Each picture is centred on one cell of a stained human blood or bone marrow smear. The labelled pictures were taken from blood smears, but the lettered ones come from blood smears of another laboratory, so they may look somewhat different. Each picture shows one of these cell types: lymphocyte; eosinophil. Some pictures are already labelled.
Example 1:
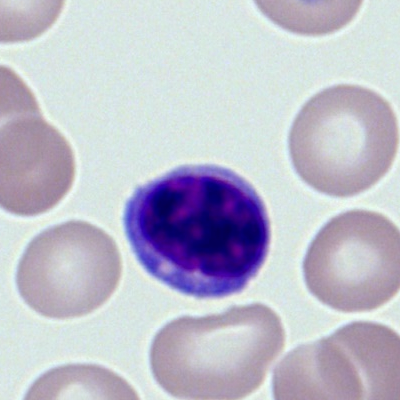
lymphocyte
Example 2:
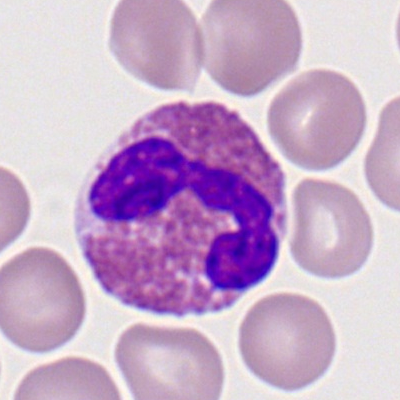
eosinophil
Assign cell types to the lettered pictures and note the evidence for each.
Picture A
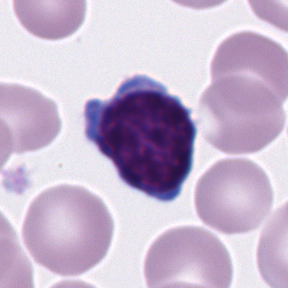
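lymphocyte: The nucleus is a single unlobed mass that fills most of the cell.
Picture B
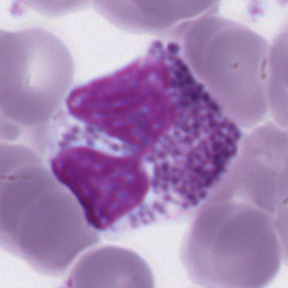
eosinophil: The nucleus has two separate lobes, one above the other, on the left side of the cell.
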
